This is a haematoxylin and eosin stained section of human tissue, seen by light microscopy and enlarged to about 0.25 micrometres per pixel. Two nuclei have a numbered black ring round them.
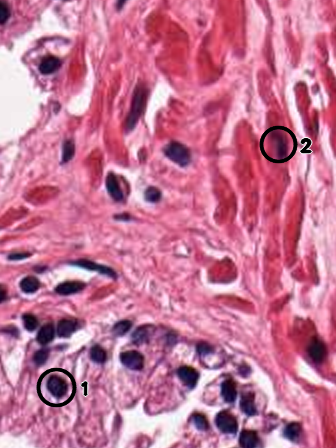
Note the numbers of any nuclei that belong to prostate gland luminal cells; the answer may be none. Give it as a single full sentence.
It is only nucleus 1 that belongs to a prostate gland luminal cell.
